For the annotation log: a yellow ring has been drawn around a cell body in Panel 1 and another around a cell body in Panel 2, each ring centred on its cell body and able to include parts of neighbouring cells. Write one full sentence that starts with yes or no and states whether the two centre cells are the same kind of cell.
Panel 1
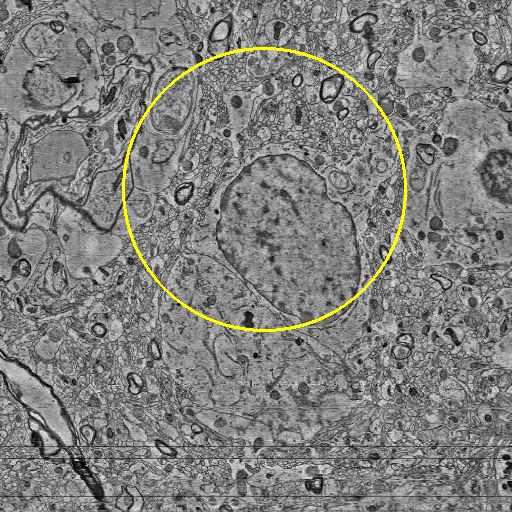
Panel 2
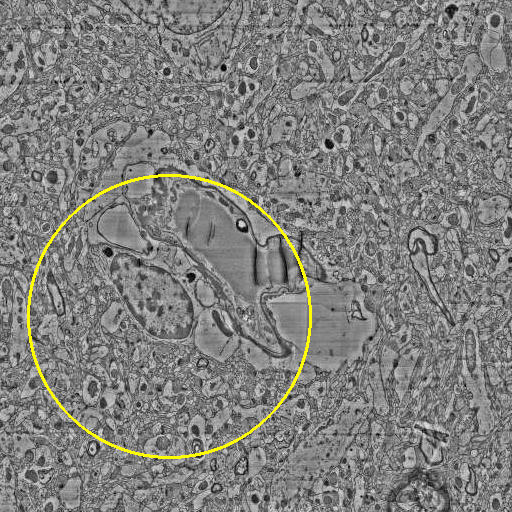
Yes, the two centre cells are the same kind of cell.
